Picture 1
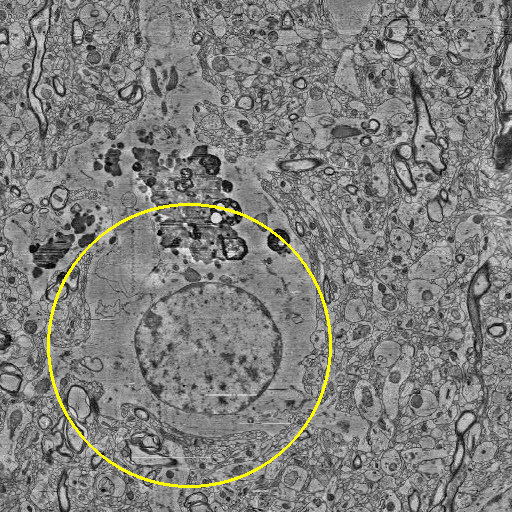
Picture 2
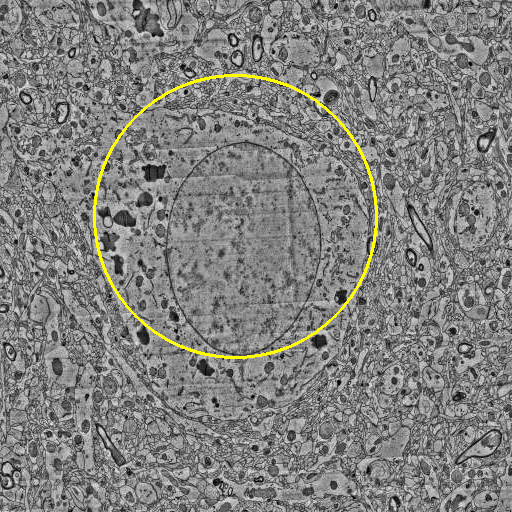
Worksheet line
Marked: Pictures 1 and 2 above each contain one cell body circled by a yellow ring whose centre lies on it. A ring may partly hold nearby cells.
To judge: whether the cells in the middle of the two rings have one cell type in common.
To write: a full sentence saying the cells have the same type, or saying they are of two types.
The cells in the middle of the rings in Picture 1 and Picture 2 are of two types.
